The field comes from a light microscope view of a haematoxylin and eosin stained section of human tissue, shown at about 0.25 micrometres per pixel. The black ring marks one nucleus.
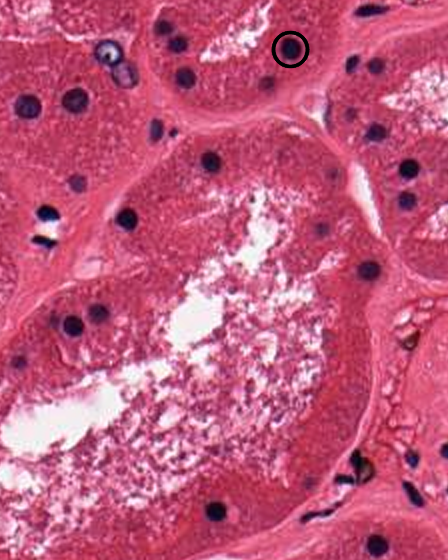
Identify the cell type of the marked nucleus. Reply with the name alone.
proximal tubule cell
